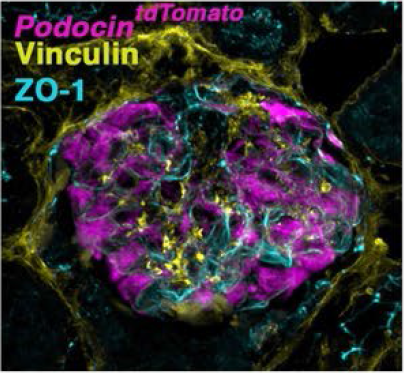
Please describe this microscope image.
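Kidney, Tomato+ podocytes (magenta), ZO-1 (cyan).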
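Thin cyan lines run along the contours of the loops and outline the tuft, tracing a fine meshwork over the magenta. Yellow appears as small bright dots and clusters scattered inside the tuft, and as strands of fibrous yellow in the tissue surrounding the tuft, forming a loose network around it. Dark spaces lie between the lobules. Beyond the tuft, fine cyan threads are seen in the adjacent tissue.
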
